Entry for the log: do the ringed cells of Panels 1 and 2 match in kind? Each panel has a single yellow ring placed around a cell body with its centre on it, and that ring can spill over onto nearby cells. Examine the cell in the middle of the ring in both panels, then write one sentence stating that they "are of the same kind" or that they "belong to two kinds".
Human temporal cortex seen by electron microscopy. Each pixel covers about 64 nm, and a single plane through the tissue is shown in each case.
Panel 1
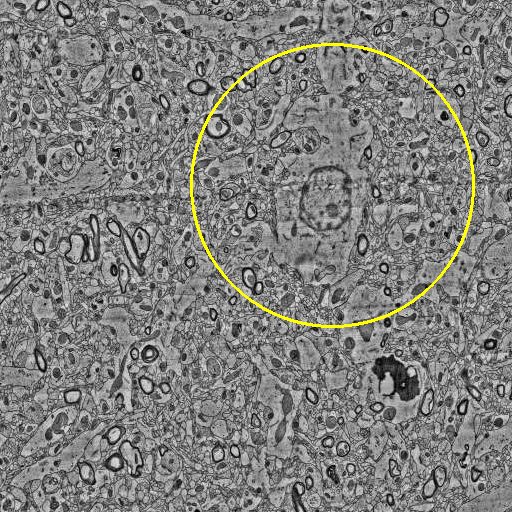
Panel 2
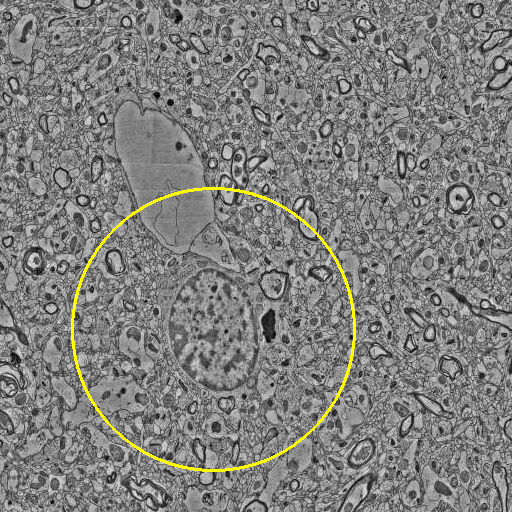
The centre cell of Panel 1's ring and that of Panel 2's ring belong to two kinds.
